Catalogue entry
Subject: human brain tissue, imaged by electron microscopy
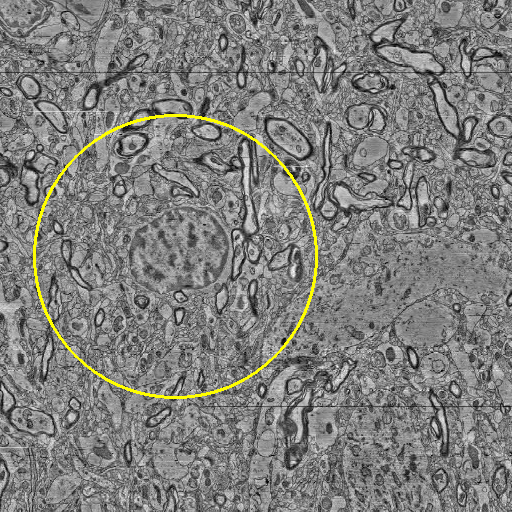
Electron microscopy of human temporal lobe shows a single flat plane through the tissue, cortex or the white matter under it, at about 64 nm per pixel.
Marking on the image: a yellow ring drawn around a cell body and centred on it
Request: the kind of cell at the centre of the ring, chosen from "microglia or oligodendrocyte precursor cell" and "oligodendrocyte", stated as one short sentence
The ring has an oligodendrocyte at its centre.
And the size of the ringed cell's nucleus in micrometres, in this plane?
Roughly 6 micrometres by 5 micrometres, in this plane.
